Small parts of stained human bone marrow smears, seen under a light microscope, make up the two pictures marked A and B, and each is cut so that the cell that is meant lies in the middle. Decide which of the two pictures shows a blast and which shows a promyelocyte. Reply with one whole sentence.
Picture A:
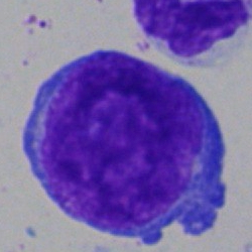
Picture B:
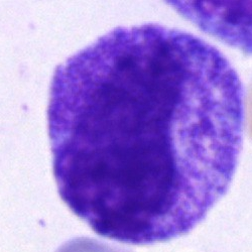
In picture A the cell is a blast; in picture B, a promyelocyte.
